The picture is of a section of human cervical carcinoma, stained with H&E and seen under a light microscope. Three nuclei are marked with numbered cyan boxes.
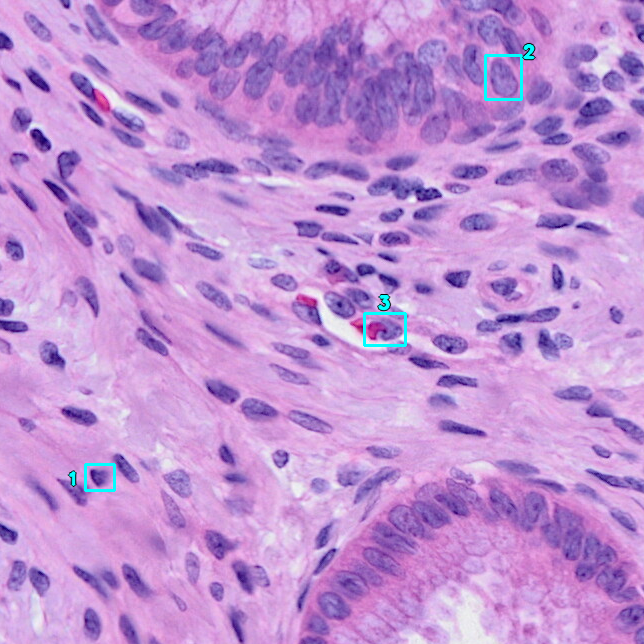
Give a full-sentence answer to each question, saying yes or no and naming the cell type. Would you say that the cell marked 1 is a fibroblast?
Yes, the cell labelled with number 1 is a fibroblast.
